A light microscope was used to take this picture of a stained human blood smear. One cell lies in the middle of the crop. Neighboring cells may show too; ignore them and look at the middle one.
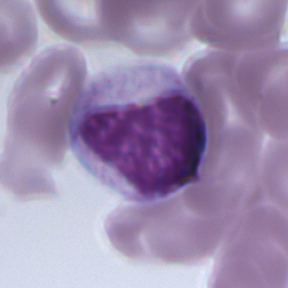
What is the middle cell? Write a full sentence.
At the center of the crop sits a metamyelocyte.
